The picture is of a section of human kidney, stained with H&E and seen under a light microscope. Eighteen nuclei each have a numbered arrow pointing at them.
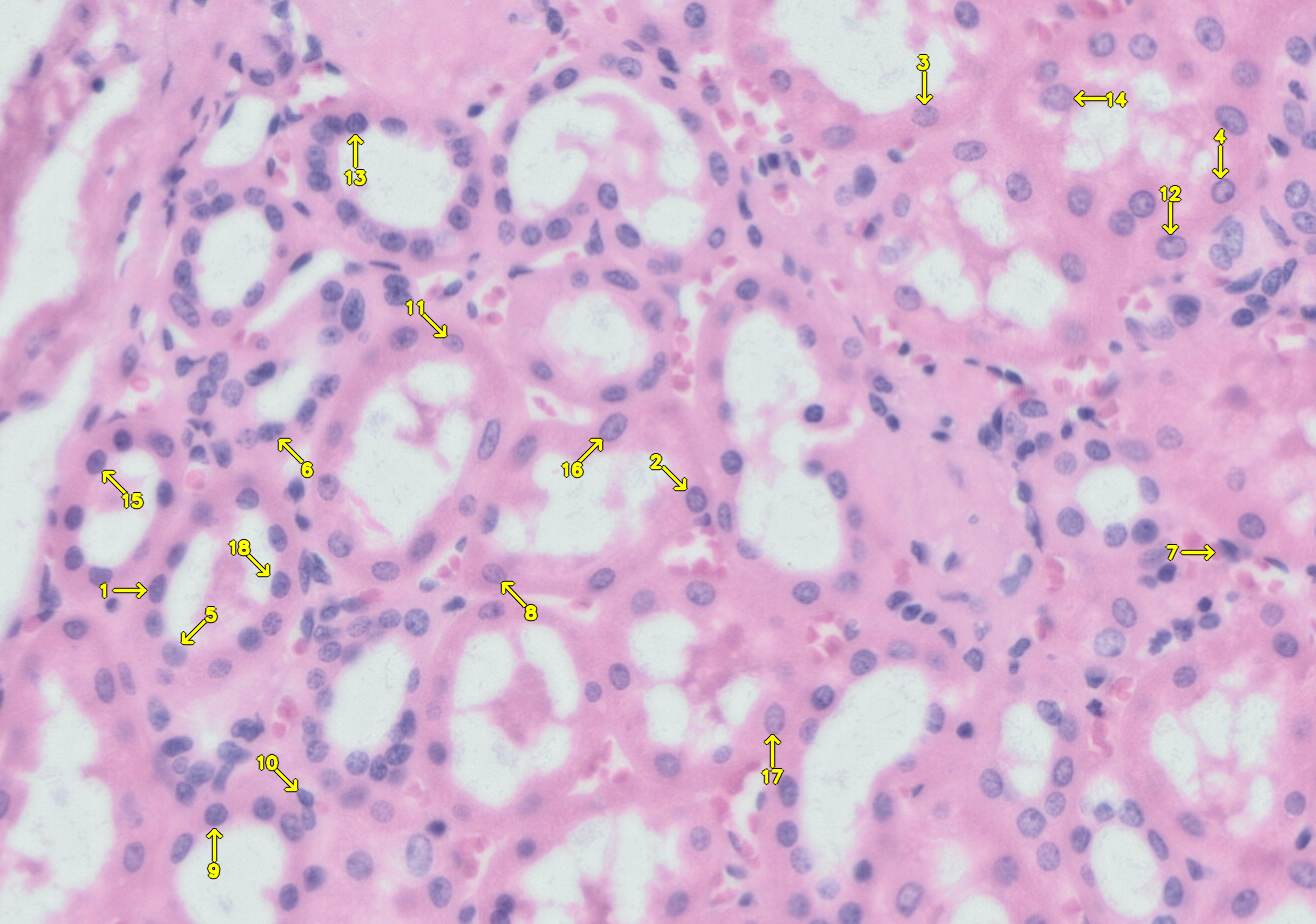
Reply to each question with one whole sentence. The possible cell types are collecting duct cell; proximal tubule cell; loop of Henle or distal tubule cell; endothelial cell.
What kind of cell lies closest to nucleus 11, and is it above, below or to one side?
The nearest one is an endothelial cell, found above and to the right of nucleus 11.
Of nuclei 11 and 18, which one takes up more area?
At about 2 times the area of nucleus 11, nucleus 18 is the larger of the two.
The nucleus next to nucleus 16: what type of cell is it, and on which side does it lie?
Just above nucleus 16 lies the nearest nucleus, which belongs to a collecting duct cell.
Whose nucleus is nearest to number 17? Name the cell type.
The nearest nucleus to number 17 belongs to a loop of Henle or distal tubule cell.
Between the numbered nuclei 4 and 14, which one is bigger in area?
Nucleus 14 covers more area, about 1.5 times as much as nucleus 4.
